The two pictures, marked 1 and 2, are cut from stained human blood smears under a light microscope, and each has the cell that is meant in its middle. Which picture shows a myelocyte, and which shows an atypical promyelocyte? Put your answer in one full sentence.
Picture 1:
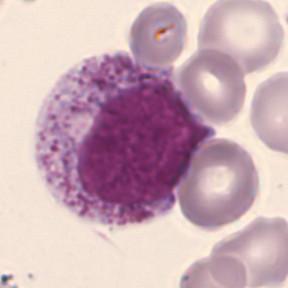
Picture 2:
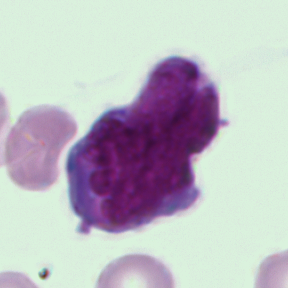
In picture 1 the cell is a myelocyte; in picture 2, an atypical promyelocyte.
